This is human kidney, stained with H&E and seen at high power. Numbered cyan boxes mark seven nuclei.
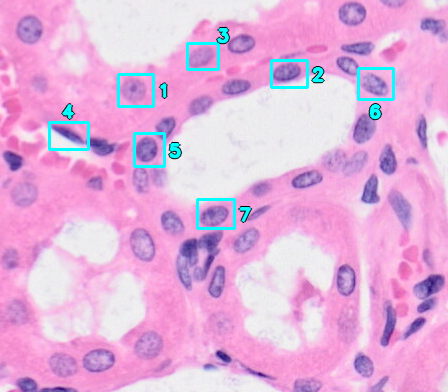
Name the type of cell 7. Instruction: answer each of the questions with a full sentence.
The cell assigned the number 7 is a collecting duct cell.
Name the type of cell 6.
The cell pointed out by number 6 is a collecting duct cell.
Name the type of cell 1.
The nucleus marked 1 is the nucleus of a proximal tubule cell.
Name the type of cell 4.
The cell pointed out as number 4 is an endothelial cell.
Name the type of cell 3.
Of the numbered cells, the one labelled 3 is a proximal tubule cell.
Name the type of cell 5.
The cell identified by the number 5 is a collecting duct cell.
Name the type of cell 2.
Recognised here as a collecting duct cell is the cell numbered 2.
